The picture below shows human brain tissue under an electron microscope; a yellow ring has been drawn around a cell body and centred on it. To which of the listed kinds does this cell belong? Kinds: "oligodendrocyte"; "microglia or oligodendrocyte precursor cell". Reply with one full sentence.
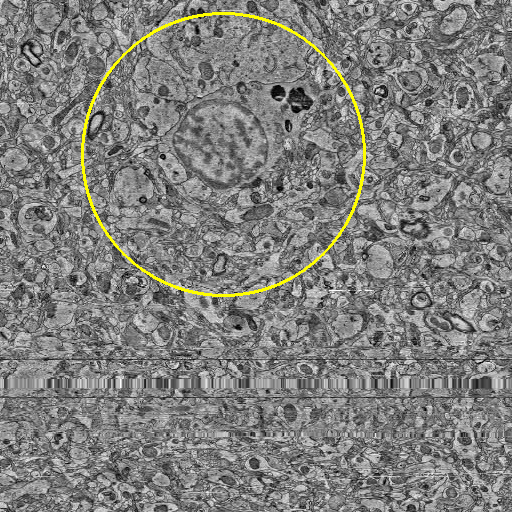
It is an oligodendrocyte that the yellow ring in the picture is centred on.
